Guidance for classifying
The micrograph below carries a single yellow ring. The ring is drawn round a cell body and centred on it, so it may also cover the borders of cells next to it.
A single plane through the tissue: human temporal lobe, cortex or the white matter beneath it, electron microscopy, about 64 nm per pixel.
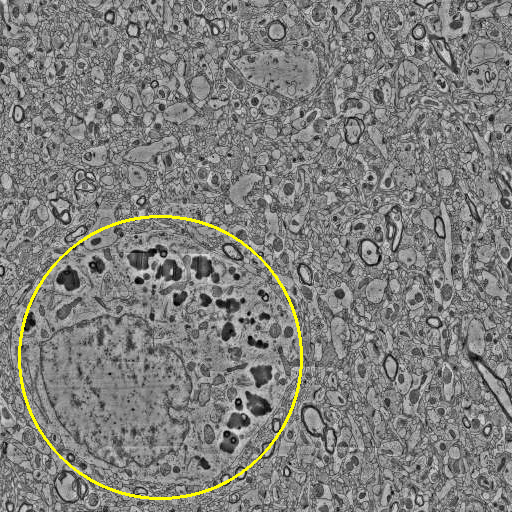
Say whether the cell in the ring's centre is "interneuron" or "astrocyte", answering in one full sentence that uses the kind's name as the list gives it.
Within the yellow ring, an interneuron is the cell whose body sits at the centre.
